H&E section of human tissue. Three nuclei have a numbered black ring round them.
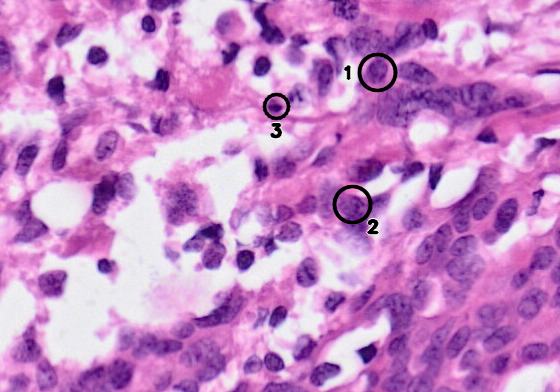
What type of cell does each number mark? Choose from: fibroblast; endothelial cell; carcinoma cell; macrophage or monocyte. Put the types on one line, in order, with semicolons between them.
carcinoma cell; carcinoma cell; macrophage or monocyte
